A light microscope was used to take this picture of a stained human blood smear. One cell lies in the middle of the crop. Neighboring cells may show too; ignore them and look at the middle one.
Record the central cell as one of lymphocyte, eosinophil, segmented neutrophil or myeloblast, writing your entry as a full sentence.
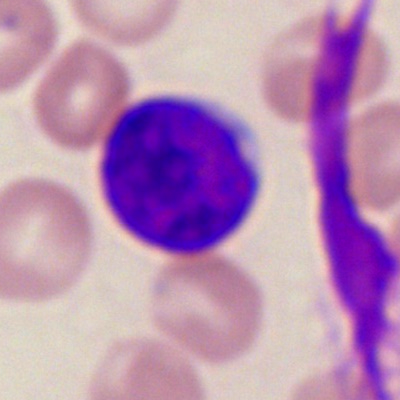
This crop is built around a myeloblast at its centre.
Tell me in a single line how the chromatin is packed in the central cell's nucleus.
The chromatin pattern here is coarse and clumped.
